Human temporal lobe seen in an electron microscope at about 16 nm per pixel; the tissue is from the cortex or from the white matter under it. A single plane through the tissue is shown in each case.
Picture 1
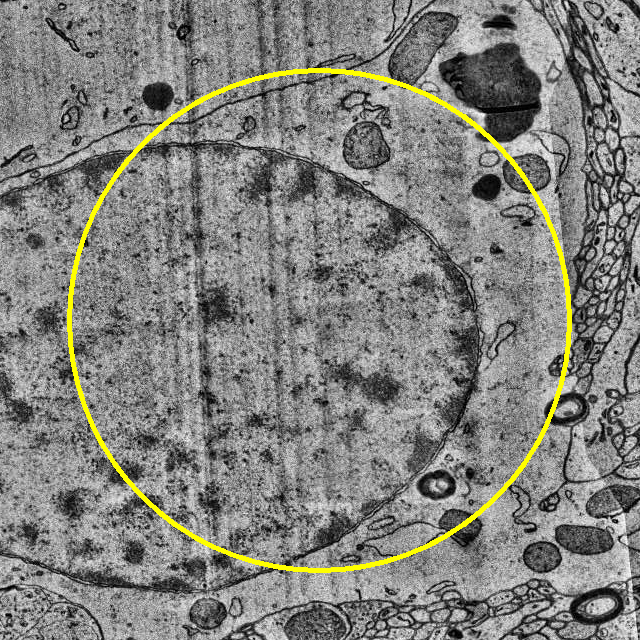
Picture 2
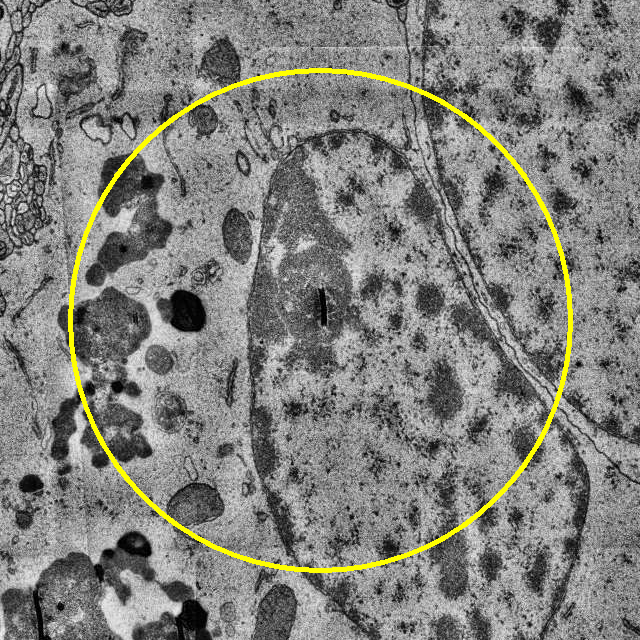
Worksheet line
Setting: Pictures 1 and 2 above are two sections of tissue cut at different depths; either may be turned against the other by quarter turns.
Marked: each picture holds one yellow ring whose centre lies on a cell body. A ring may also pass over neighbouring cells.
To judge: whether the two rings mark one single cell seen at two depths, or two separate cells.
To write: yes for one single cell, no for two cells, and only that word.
no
